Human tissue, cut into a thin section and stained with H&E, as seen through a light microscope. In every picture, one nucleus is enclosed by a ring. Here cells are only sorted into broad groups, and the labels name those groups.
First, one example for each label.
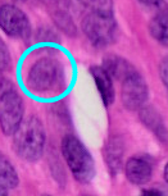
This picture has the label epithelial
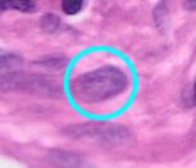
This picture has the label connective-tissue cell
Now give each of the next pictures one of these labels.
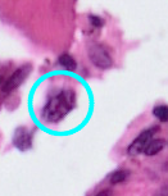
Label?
epithelial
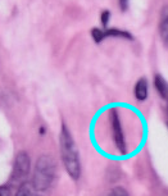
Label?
connective-tissue cell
